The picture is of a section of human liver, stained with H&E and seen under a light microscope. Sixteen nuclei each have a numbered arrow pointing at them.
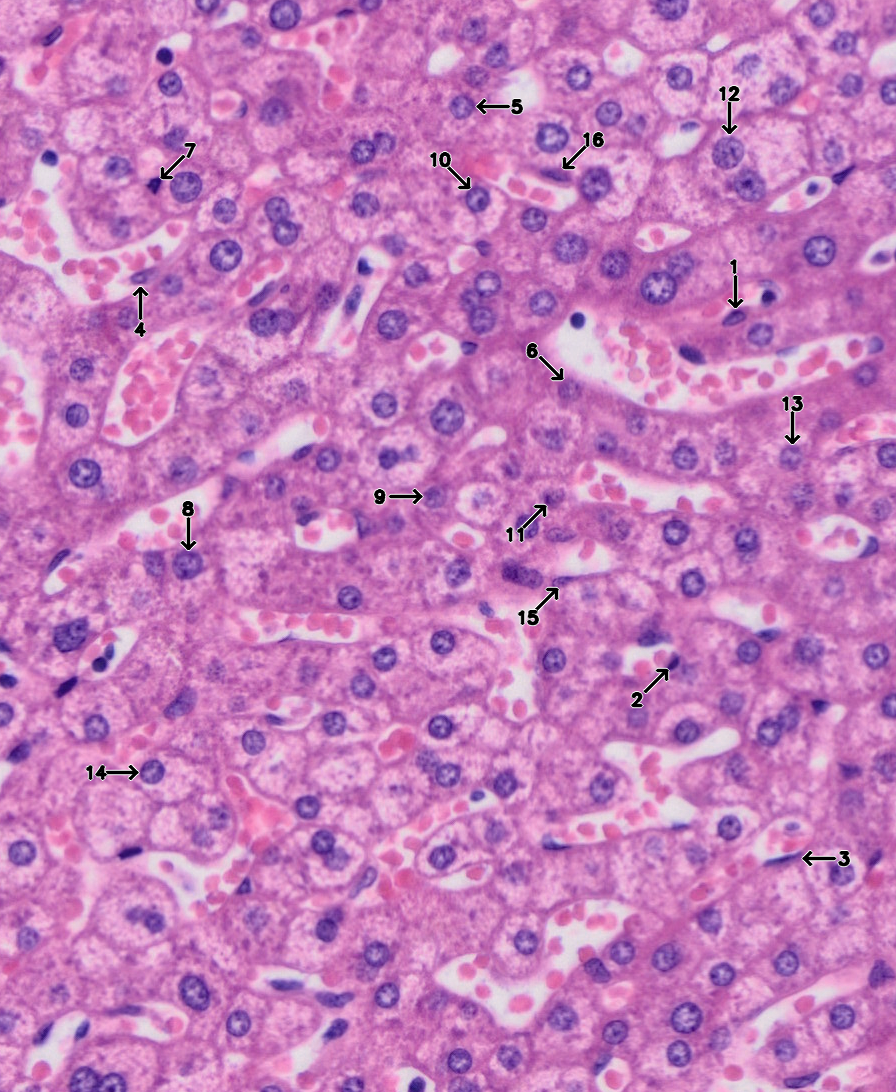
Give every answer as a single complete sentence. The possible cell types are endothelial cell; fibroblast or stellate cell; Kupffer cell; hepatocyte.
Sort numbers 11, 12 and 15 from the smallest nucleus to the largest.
Smallest first, the nuclei run 15, 11, 12.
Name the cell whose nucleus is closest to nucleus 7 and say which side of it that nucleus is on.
The closest nucleus belongs to a hepatocyte and sits to the right of nucleus 7.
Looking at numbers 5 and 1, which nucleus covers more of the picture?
It is nucleus 5, which covers about 1.5 times the area of nucleus 1.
